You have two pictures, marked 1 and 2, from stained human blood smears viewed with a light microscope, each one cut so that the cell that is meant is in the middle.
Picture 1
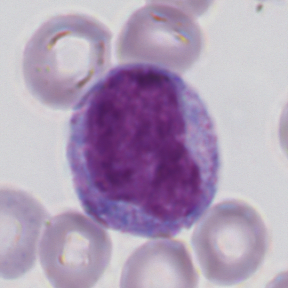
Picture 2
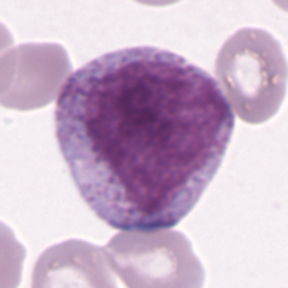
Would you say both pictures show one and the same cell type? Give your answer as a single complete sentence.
Yes, both are promyelocytes.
